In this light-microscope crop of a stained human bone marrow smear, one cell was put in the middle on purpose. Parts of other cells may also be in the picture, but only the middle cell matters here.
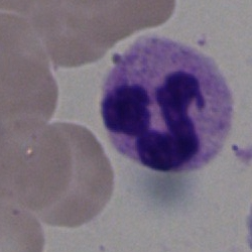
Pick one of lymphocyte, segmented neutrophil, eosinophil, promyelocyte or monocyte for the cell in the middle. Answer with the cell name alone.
segmented neutrophil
